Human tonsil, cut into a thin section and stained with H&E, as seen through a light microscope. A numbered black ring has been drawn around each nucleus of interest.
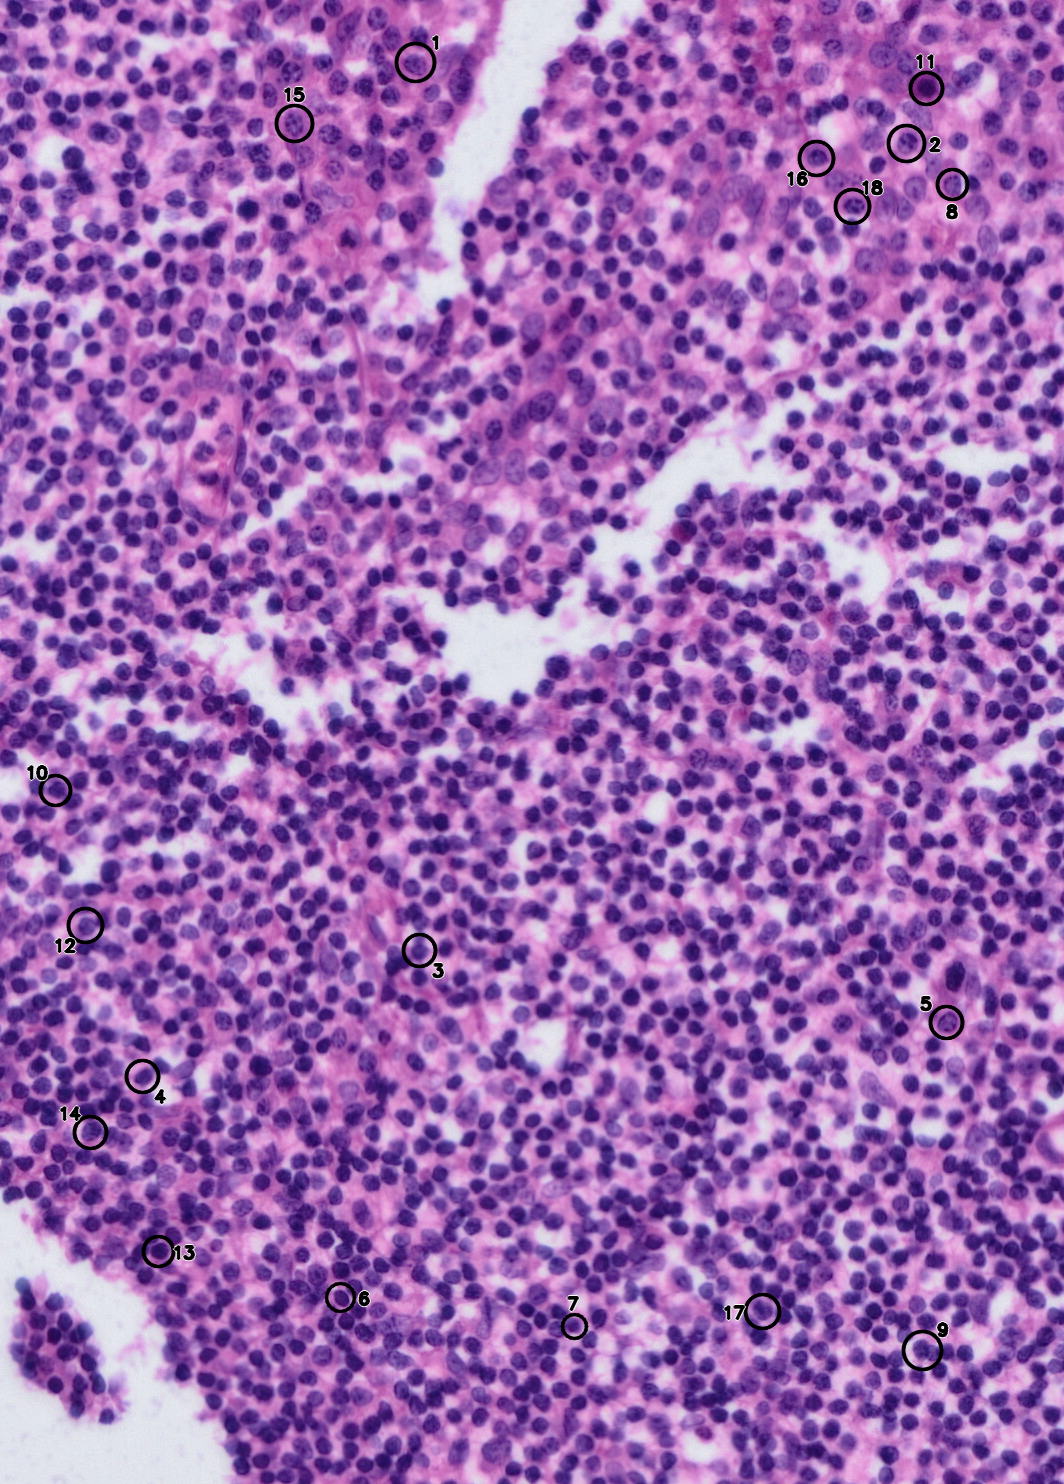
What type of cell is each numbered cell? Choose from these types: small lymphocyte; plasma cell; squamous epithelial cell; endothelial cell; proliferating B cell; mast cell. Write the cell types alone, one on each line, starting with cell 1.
plasma cell
plasma cell
small lymphocyte
small lymphocyte
plasma cell
small lymphocyte
small lymphocyte
plasma cell
small lymphocyte
small lymphocyte
plasma cell
small lymphocyte
small lymphocyte
small lymphocyte
plasma cell
plasma cell
small lymphocyte
plasma cell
